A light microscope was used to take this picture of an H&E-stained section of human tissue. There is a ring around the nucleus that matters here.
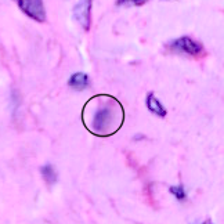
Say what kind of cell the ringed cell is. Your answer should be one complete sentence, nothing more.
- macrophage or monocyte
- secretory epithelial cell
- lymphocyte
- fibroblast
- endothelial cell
The classification of the ringed cell is as a fibroblast.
